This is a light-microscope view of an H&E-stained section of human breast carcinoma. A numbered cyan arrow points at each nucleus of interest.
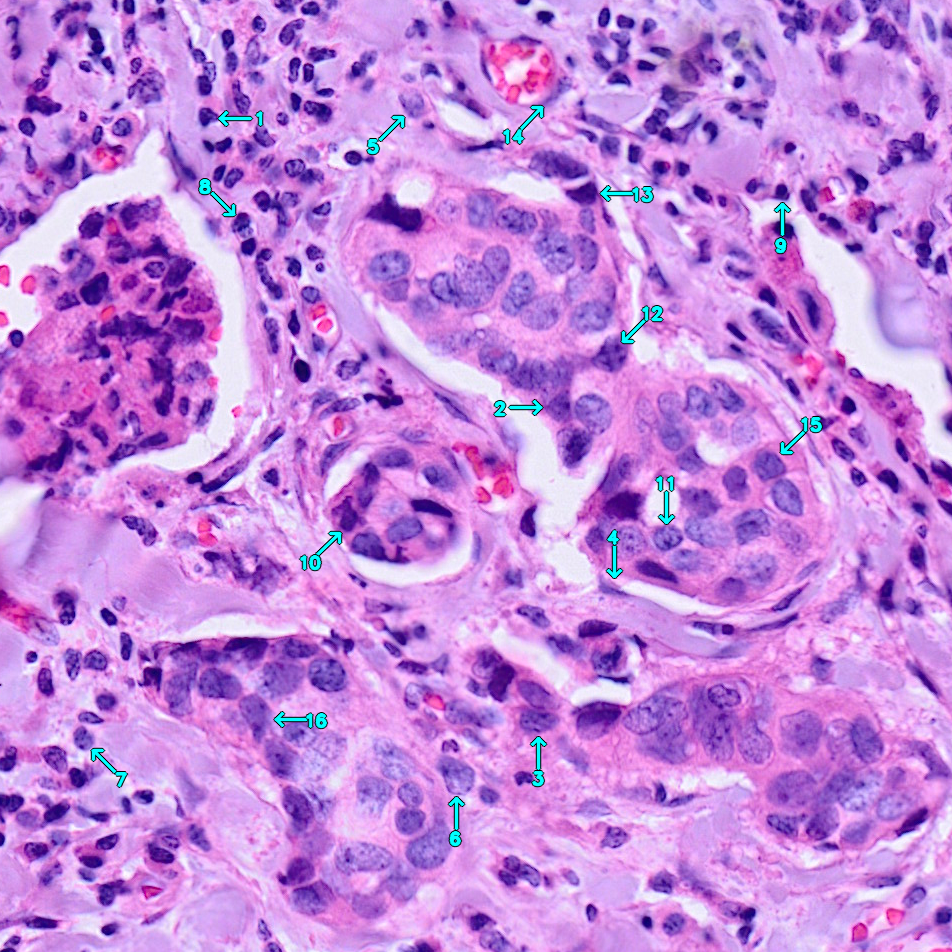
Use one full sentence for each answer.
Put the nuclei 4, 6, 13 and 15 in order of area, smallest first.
The order from the smallest nucleus to the largest is 4, 13, 15, 6.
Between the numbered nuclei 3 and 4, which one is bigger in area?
Nucleus 3 is the larger one, covering about 2.5 times the area of nucleus 4.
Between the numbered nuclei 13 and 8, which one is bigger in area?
Nucleus 13 covers more area, about 2.5 times as much as nucleus 8.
